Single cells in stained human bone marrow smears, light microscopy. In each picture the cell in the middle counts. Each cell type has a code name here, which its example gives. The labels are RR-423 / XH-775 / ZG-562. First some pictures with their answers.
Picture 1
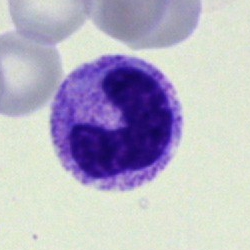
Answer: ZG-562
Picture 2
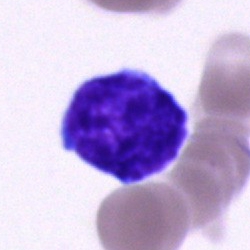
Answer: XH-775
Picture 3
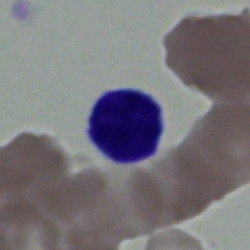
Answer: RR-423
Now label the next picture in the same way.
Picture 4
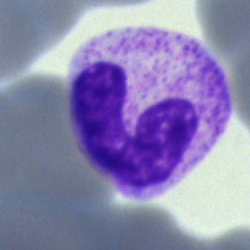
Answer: ZG-562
